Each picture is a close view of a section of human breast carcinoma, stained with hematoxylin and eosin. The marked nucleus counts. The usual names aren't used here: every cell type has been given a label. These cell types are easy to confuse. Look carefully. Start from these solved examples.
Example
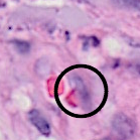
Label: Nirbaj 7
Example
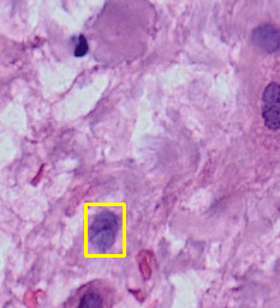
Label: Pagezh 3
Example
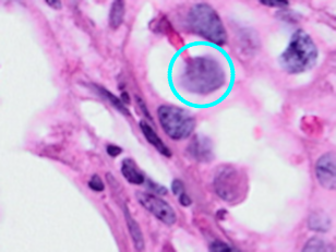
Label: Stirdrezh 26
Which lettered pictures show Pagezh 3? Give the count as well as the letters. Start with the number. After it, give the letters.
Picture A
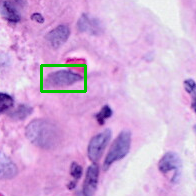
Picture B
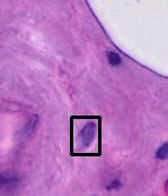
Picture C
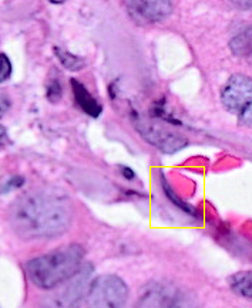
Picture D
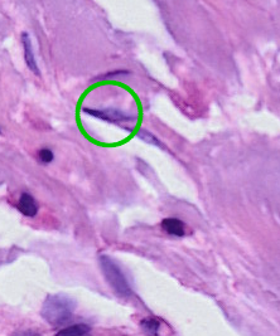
2, namely B, D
